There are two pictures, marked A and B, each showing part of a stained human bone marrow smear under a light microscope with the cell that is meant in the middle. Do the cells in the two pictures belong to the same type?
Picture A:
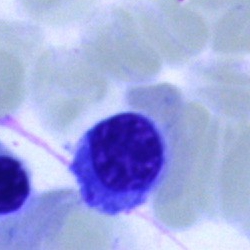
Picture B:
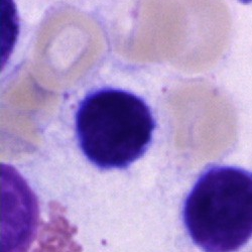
no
